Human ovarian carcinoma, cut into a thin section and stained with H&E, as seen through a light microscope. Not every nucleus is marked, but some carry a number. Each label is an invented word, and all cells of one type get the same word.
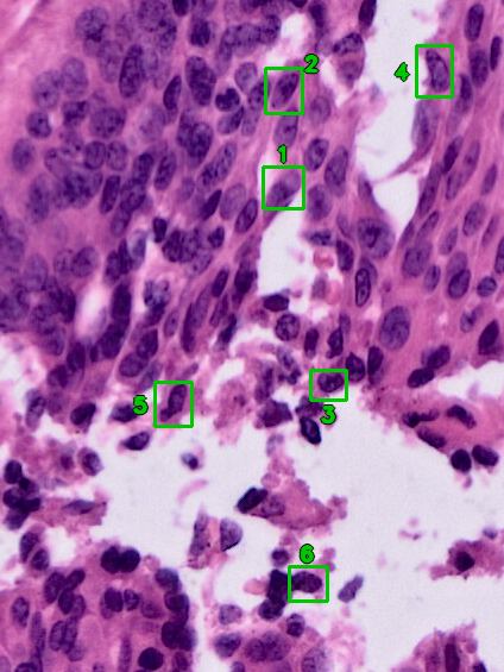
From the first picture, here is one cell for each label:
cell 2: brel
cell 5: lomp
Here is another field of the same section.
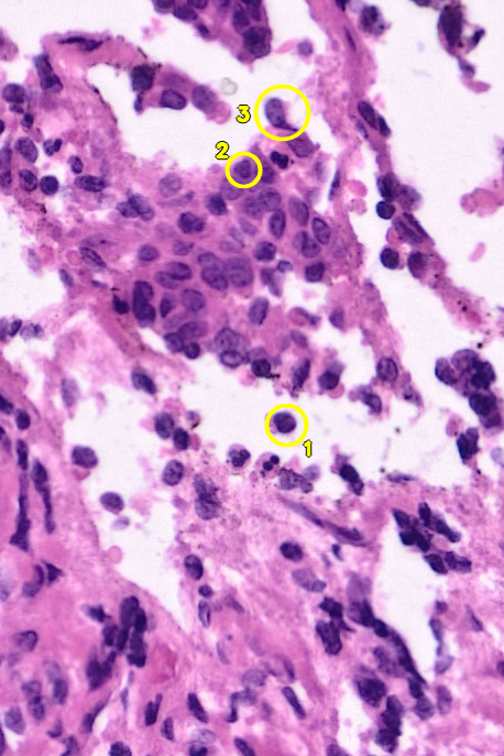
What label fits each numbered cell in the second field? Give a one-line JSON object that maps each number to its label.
{"1": "brel", "2": "brel", "3": "lomp"}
